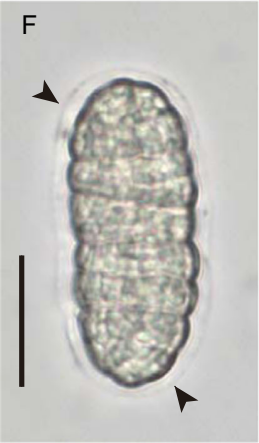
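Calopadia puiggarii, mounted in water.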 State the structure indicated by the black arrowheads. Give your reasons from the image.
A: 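Halo‐like sheath of transparent material. A thin pale rim lies outside the dark spore wall. The arrowheads point at the outer edge of this rim.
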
